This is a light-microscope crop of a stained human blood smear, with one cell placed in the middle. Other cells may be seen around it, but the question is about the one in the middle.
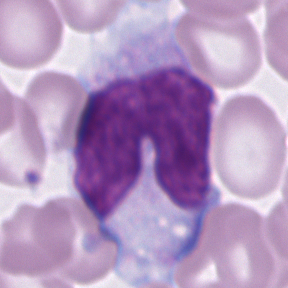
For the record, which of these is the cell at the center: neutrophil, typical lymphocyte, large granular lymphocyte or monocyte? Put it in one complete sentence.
Classified as a monocyte is the cell in the middle of this crop.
